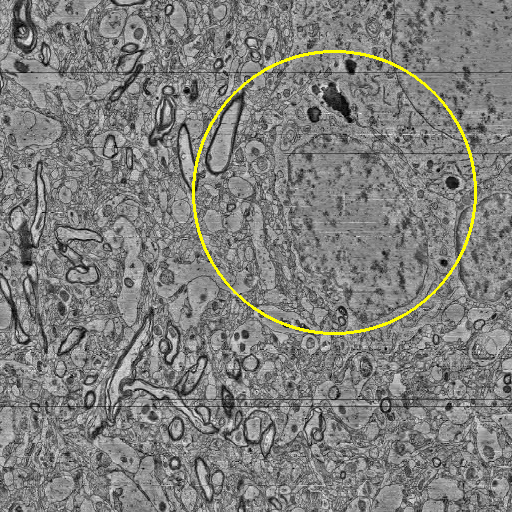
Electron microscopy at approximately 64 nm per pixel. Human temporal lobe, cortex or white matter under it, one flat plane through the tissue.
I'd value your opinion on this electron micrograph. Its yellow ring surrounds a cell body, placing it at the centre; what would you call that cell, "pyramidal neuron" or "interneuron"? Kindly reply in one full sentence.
It is an interneuron that sits centred within the yellow ring in this micrograph.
